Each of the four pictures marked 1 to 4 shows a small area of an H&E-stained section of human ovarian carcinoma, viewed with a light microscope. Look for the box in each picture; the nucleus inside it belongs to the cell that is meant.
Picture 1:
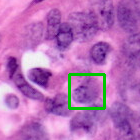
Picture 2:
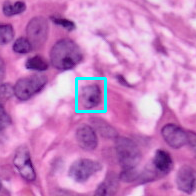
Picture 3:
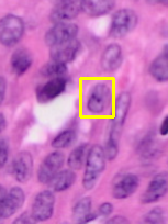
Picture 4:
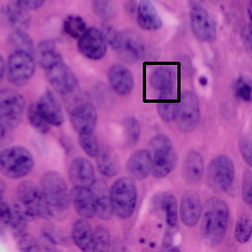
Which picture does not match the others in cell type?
4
